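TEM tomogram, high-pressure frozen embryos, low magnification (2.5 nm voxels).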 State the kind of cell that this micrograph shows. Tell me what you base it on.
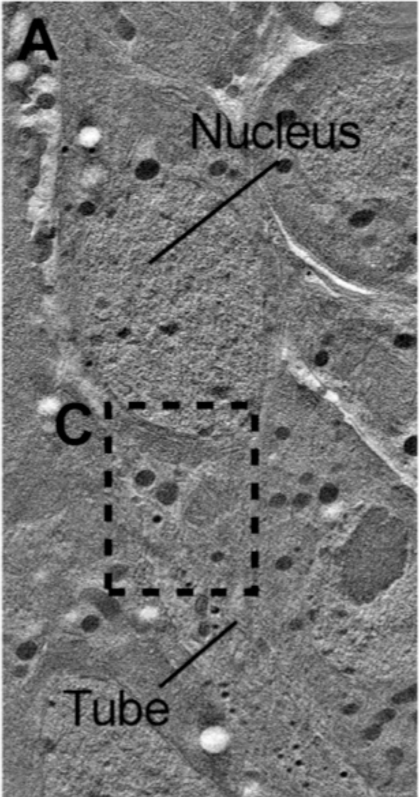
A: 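Terminal tracheal cell. An elongated cell with a nucleus at one end tapers into a long extension. A narrow tube runs lengthwise through the cell extension.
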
